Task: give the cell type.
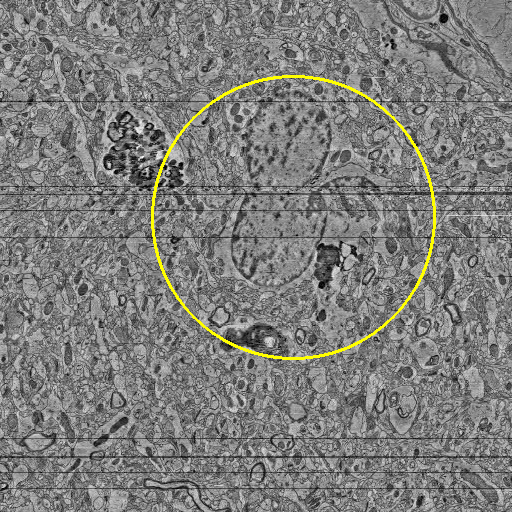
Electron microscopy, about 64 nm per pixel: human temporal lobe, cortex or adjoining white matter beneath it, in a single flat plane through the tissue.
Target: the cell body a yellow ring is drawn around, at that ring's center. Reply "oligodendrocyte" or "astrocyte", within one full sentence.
In this picture, the cell whose body lies at the ring's center is an astrocyte.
